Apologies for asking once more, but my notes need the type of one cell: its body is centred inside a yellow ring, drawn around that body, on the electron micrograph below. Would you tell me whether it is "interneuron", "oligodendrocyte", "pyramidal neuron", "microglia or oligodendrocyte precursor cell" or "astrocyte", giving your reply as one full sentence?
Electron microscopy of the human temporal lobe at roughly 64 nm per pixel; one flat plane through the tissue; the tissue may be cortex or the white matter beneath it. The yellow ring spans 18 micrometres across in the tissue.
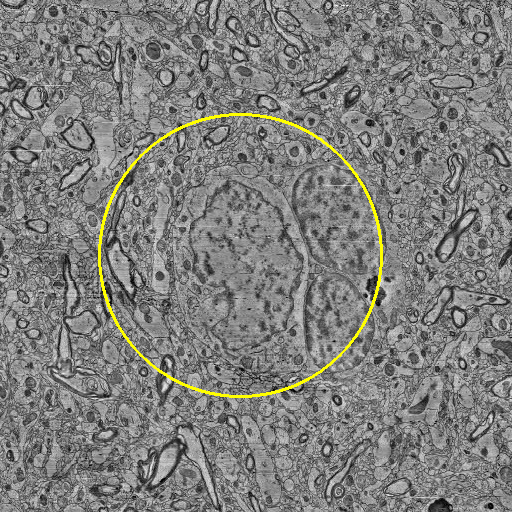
The cell that the yellow ring is centred on is an interneuron in this micrograph.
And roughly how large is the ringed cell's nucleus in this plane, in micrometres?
The nucleus is approximately 11 micrometres long but only about 7 wide, clearly longer than it is wide in this plane.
